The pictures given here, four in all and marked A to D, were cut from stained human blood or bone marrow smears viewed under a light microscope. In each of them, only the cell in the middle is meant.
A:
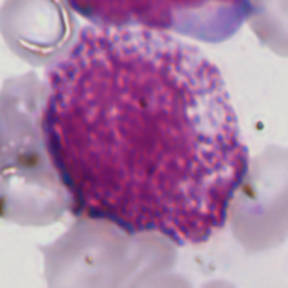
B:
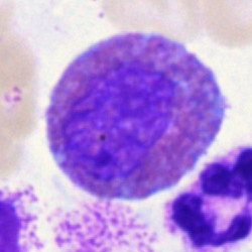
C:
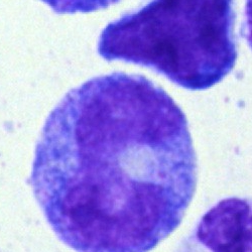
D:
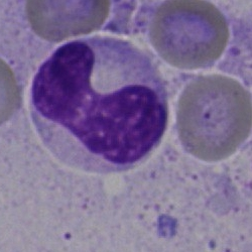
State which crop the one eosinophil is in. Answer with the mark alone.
B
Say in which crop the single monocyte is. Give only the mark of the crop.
C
